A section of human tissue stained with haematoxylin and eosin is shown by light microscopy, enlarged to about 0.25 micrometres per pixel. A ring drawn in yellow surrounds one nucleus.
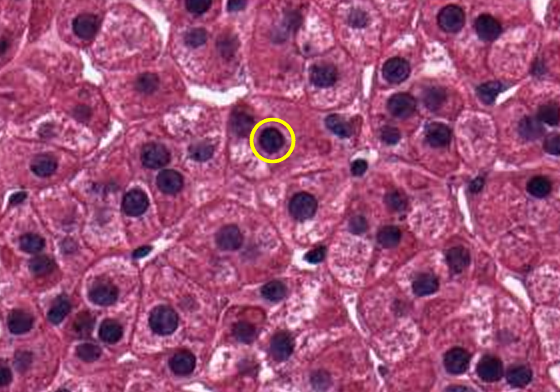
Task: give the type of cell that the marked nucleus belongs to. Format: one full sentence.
The marked nucleus is that of an adrenal cortical cell.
